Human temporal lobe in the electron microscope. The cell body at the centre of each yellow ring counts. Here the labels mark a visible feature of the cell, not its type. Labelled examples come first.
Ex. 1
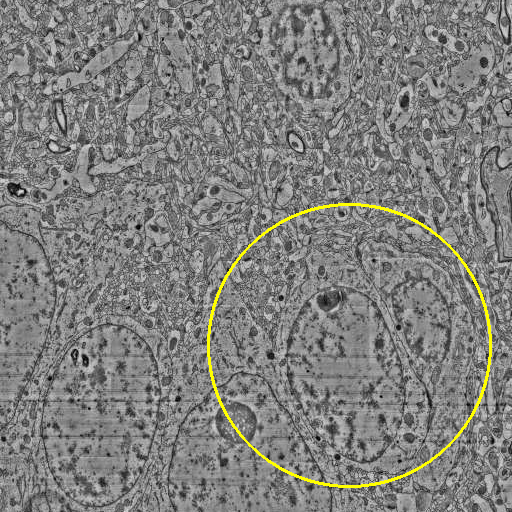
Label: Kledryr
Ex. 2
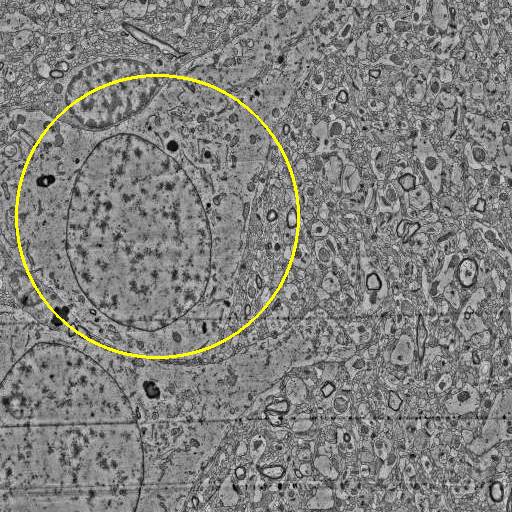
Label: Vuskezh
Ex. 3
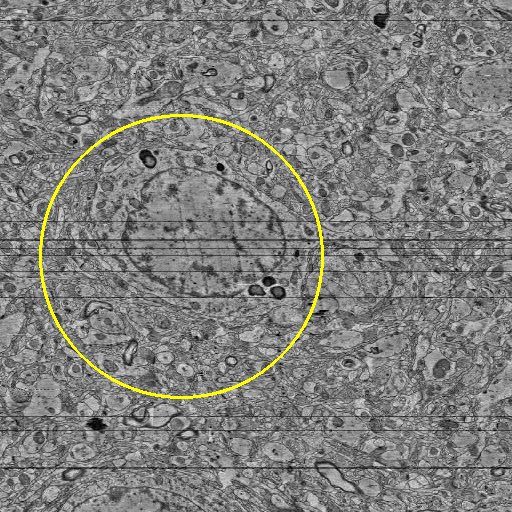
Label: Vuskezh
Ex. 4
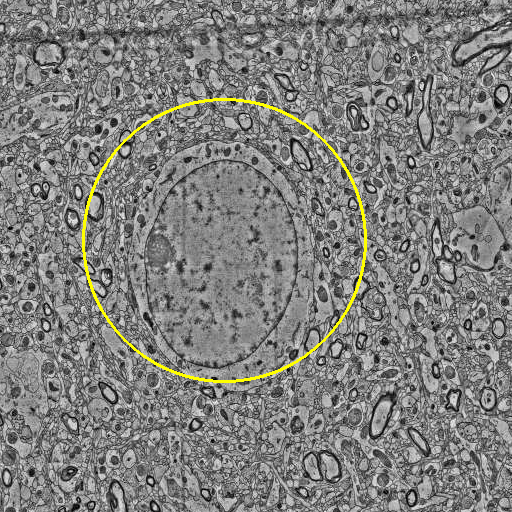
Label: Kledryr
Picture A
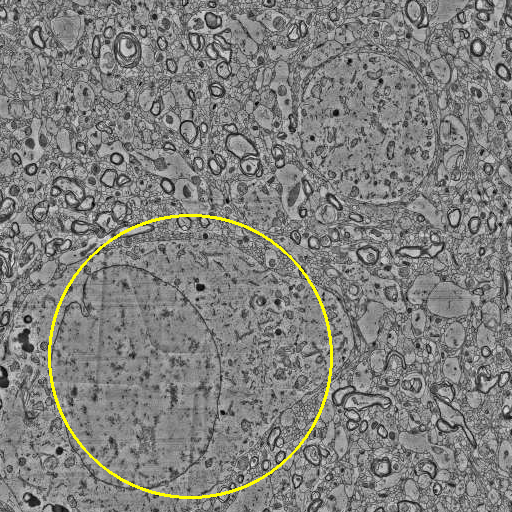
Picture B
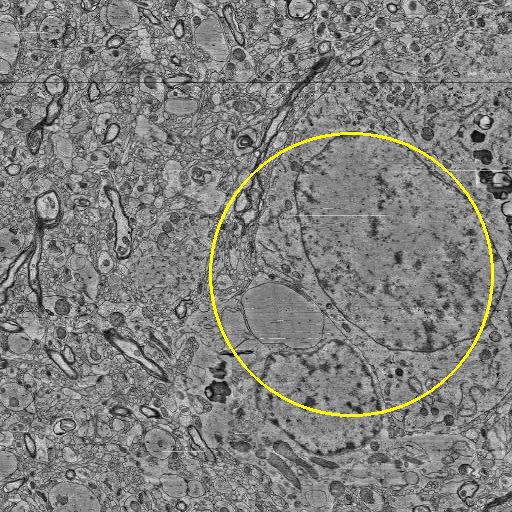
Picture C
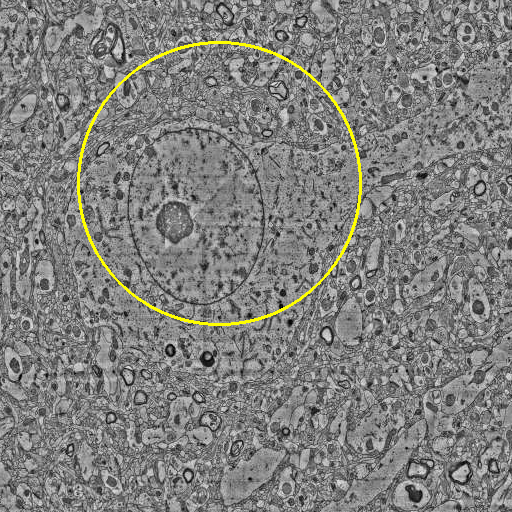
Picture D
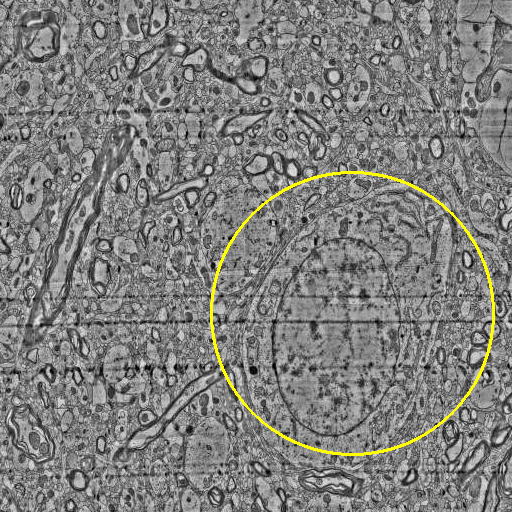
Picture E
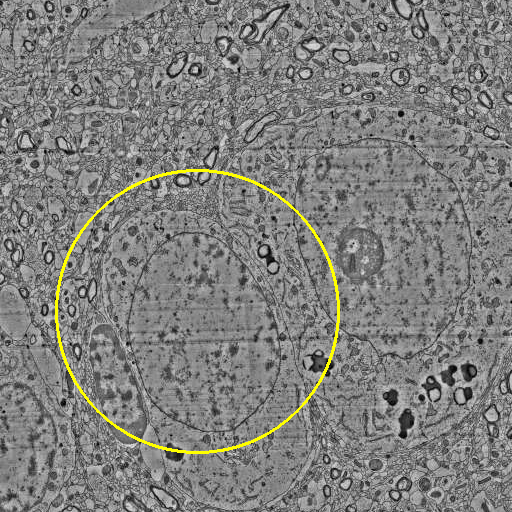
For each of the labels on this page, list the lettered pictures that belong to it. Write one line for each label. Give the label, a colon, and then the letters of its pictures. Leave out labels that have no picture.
Kledryr: C
Vuskezh: A, B, D, E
